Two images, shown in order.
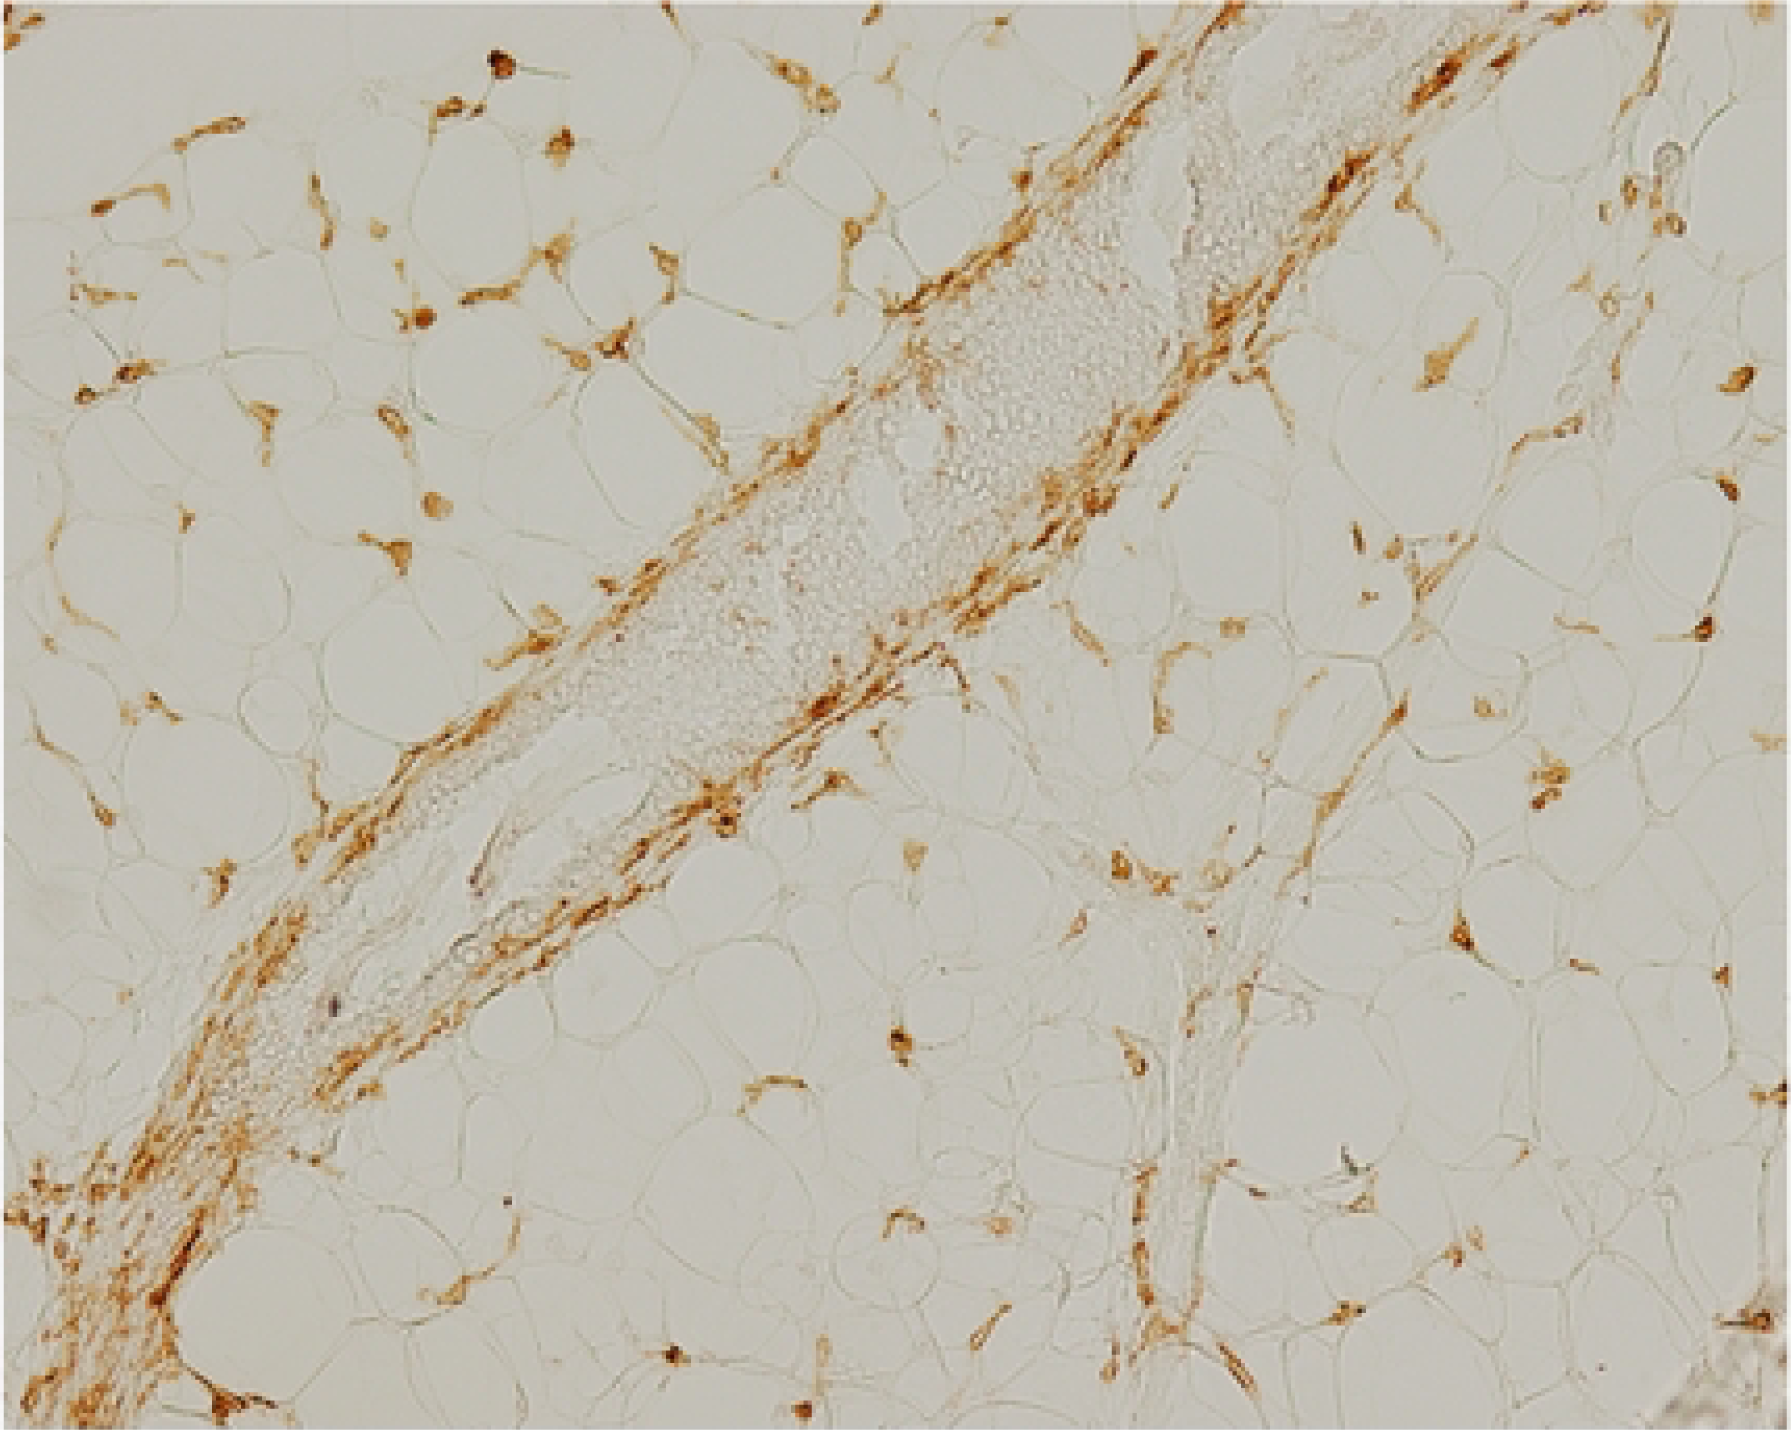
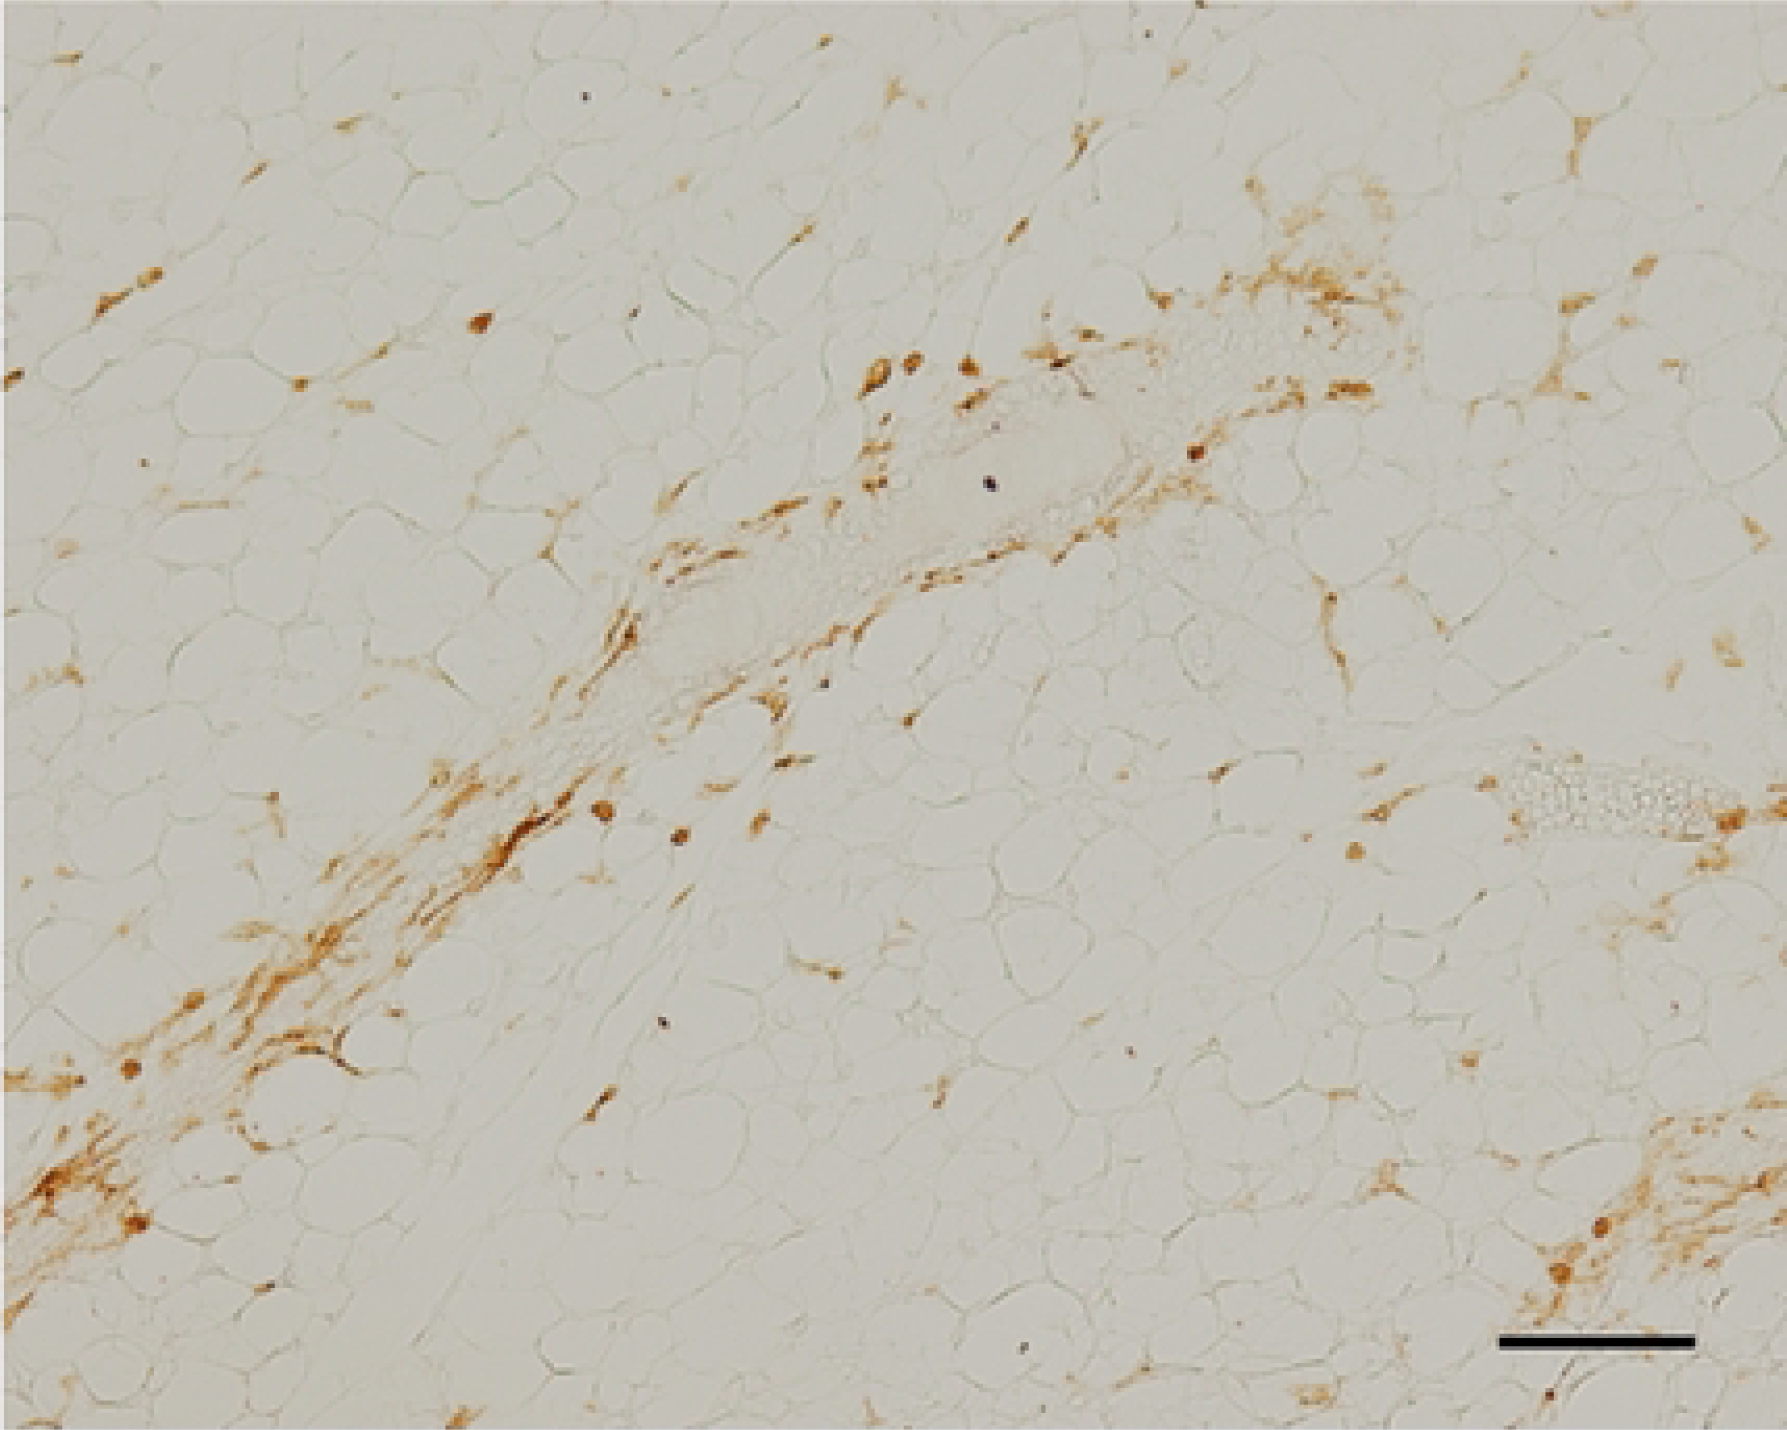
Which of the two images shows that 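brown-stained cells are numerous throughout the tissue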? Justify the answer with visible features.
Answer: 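First image: many strongly brown cells are scattered between fat cells and densely line a diagonal band.
Answer: the first image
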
